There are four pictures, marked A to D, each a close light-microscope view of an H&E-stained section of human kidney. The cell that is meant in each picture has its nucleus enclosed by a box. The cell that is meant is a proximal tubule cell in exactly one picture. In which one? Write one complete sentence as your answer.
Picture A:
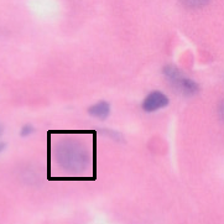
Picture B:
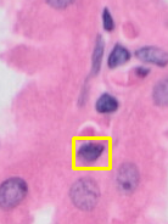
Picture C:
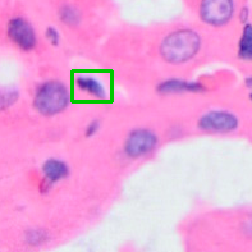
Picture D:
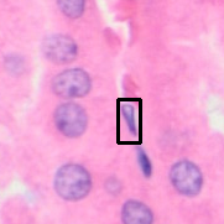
The proximal tubule cell is the one in picture A.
